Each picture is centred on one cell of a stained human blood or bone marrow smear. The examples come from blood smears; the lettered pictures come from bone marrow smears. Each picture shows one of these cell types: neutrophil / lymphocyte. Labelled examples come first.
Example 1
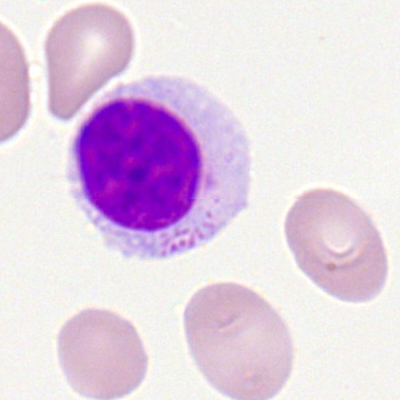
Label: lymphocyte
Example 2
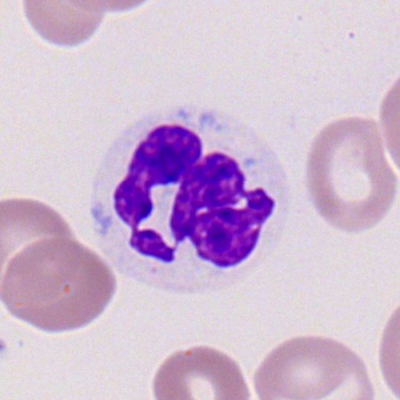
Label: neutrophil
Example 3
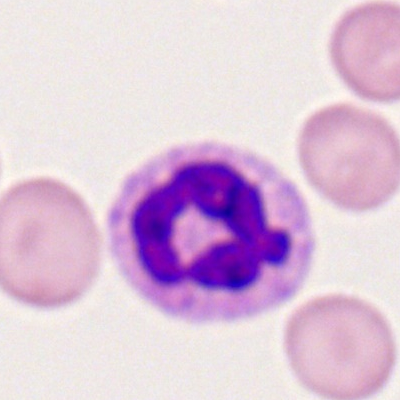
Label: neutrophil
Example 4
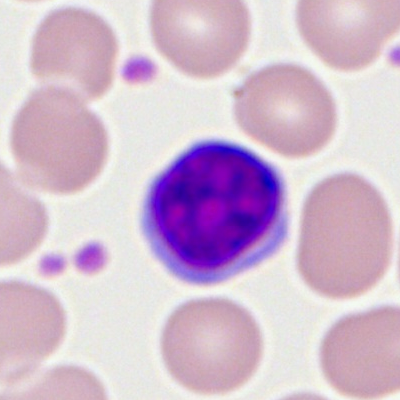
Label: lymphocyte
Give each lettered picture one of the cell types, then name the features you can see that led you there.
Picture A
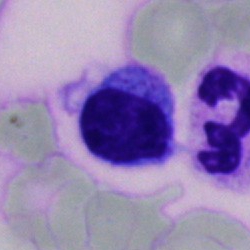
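lymphocyte. Evidence: The nucleus fills most of the cell.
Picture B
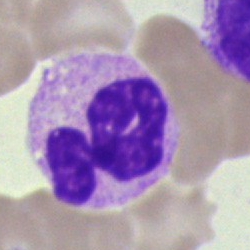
neutrophil. Evidence: The cytoplasm is abundant and pale lilac-pink.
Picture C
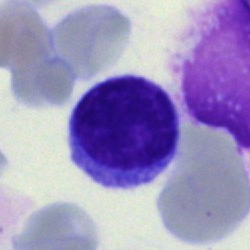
lymphocyte. Evidence: The cytoplasm is scant.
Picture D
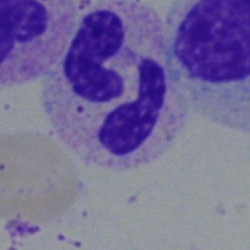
neutrophil. Evidence: The cytoplasm is abundant and pale pinkish-lilac.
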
